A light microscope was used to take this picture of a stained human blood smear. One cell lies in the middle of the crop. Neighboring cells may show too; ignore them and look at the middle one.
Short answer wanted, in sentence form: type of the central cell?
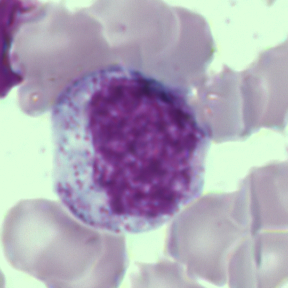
By type, the central cell of the crop is a myelocyte.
